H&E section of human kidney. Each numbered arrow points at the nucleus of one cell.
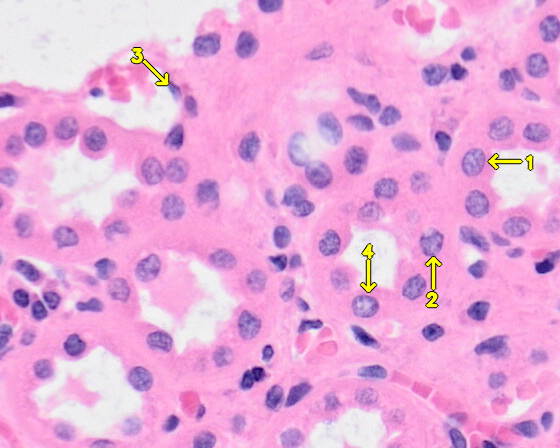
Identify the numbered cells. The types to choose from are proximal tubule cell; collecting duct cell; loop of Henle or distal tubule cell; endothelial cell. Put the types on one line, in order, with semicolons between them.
loop of Henle or distal tubule cell; loop of Henle or distal tubule cell; endothelial cell; loop of Henle or distal tubule cell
